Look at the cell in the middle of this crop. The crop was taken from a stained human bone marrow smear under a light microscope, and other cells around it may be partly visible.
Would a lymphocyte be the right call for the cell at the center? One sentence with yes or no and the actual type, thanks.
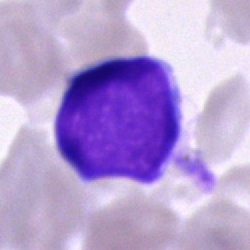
No, the central cell in this crop is a blast and not a lymphocyte.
